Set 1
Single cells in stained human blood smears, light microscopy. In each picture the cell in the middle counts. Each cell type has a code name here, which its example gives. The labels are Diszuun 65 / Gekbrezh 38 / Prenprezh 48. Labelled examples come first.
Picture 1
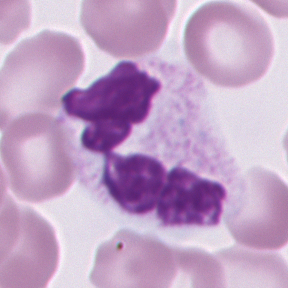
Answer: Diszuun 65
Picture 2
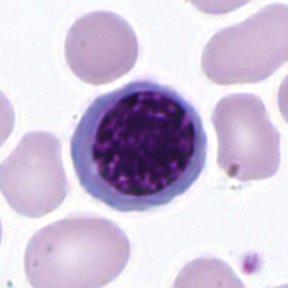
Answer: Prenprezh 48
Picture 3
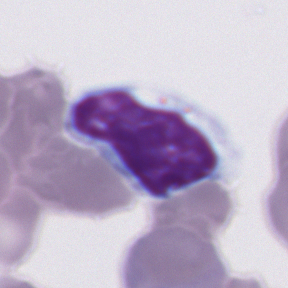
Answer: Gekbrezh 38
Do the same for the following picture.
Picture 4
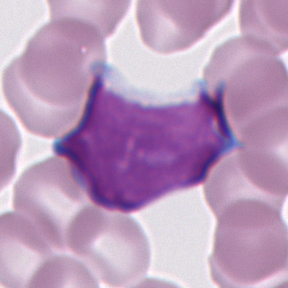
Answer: Gekbrezh 38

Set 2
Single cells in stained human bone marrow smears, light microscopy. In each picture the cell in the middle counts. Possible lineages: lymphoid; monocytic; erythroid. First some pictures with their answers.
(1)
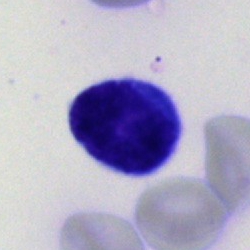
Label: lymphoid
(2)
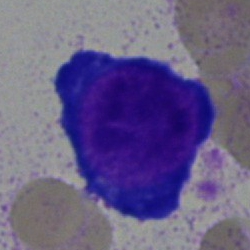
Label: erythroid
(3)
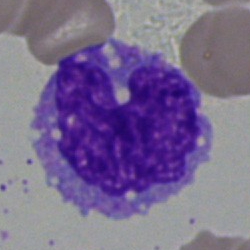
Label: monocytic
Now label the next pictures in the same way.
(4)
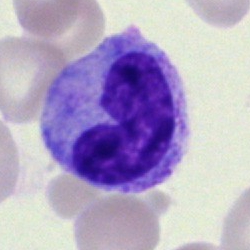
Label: monocytic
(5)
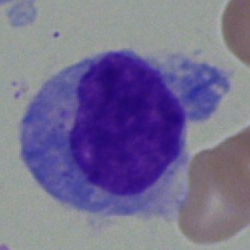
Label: monocytic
